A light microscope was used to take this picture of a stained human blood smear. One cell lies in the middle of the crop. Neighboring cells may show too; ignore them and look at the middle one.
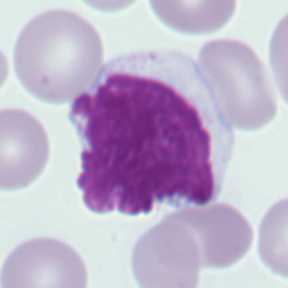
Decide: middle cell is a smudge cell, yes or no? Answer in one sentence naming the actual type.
Yes, the cell under consideration, the one in the middle, is a smudge cell.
